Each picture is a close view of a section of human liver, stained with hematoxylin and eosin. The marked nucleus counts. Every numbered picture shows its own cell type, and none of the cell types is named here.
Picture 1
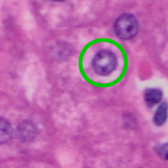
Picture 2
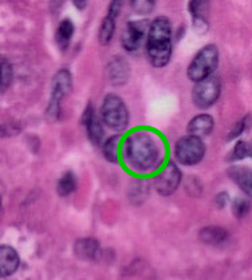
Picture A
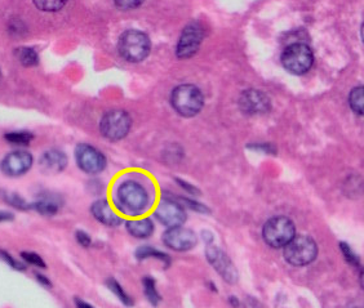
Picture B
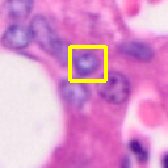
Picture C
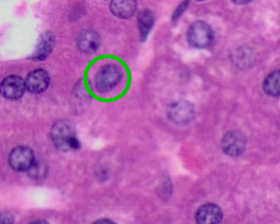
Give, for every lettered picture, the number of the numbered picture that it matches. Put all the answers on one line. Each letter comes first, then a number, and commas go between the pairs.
A 2, B 2, C 2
